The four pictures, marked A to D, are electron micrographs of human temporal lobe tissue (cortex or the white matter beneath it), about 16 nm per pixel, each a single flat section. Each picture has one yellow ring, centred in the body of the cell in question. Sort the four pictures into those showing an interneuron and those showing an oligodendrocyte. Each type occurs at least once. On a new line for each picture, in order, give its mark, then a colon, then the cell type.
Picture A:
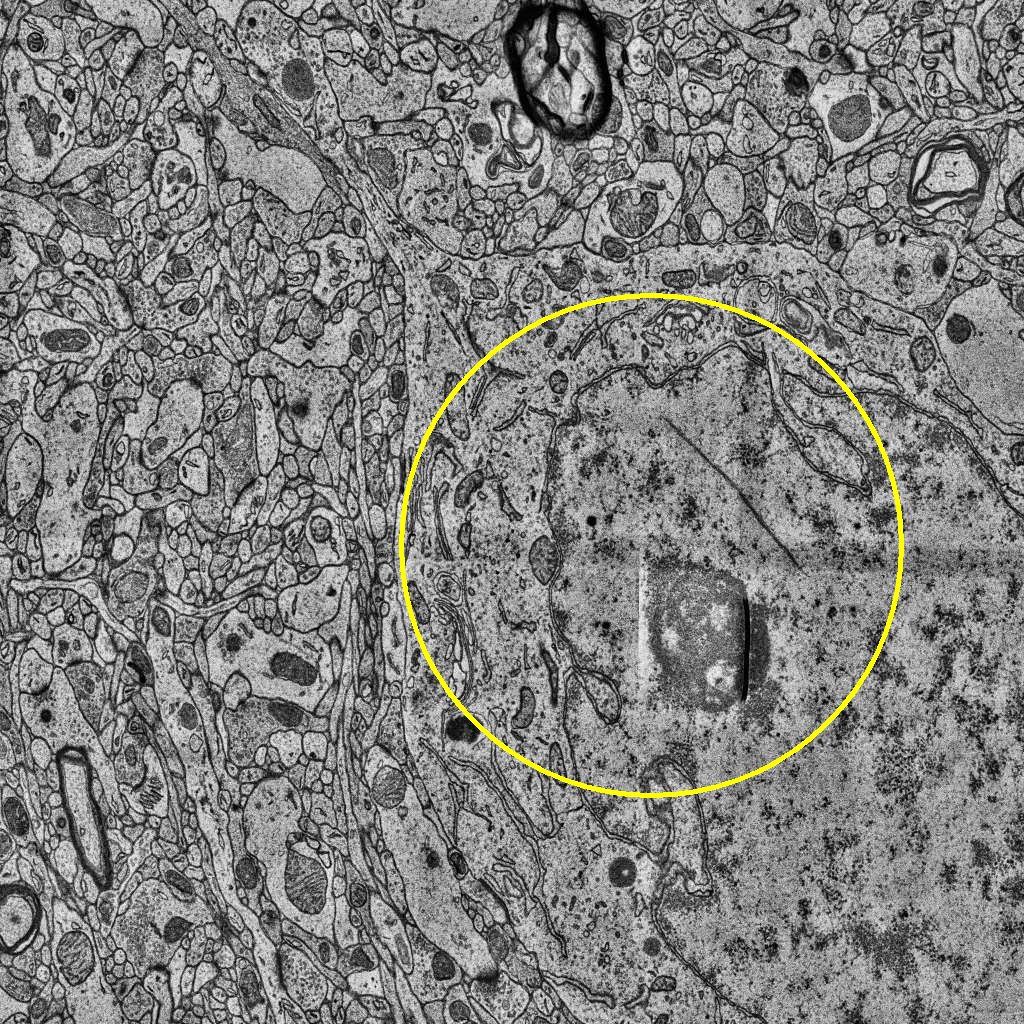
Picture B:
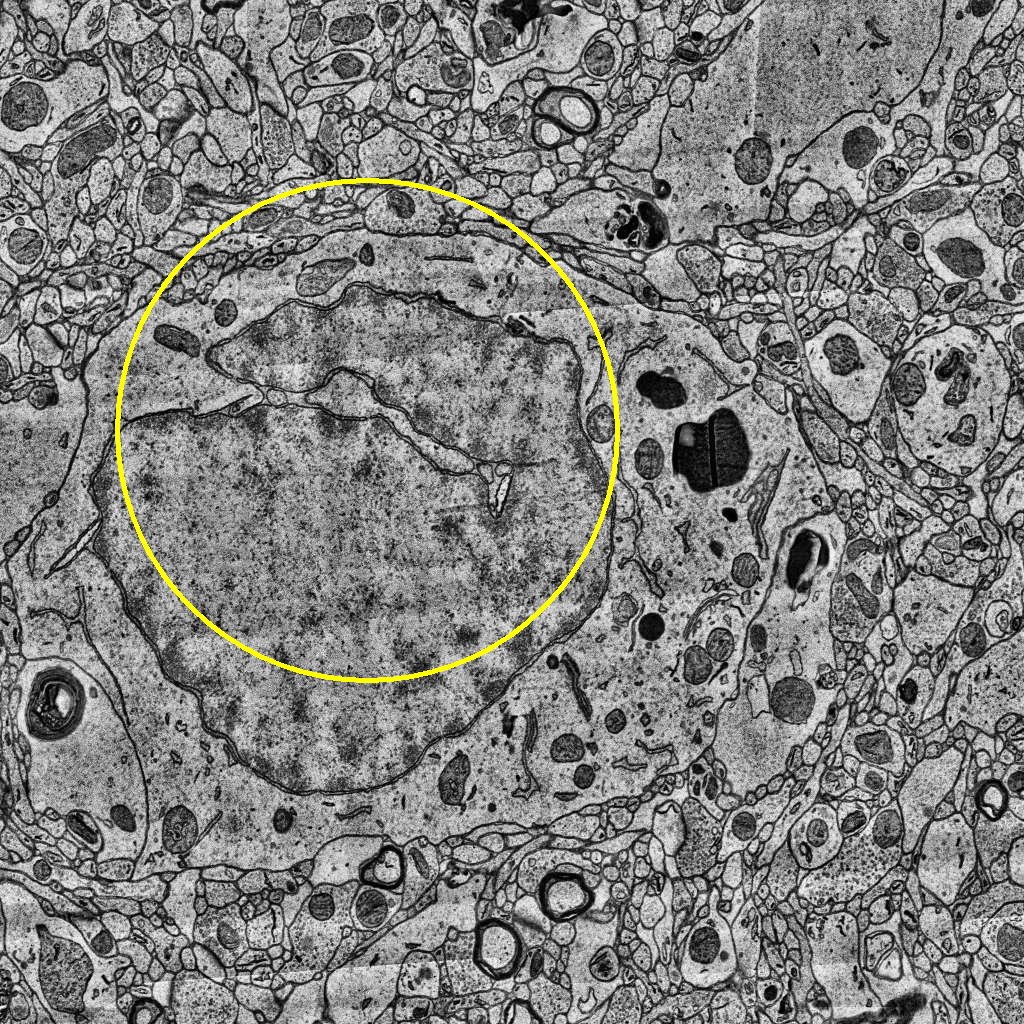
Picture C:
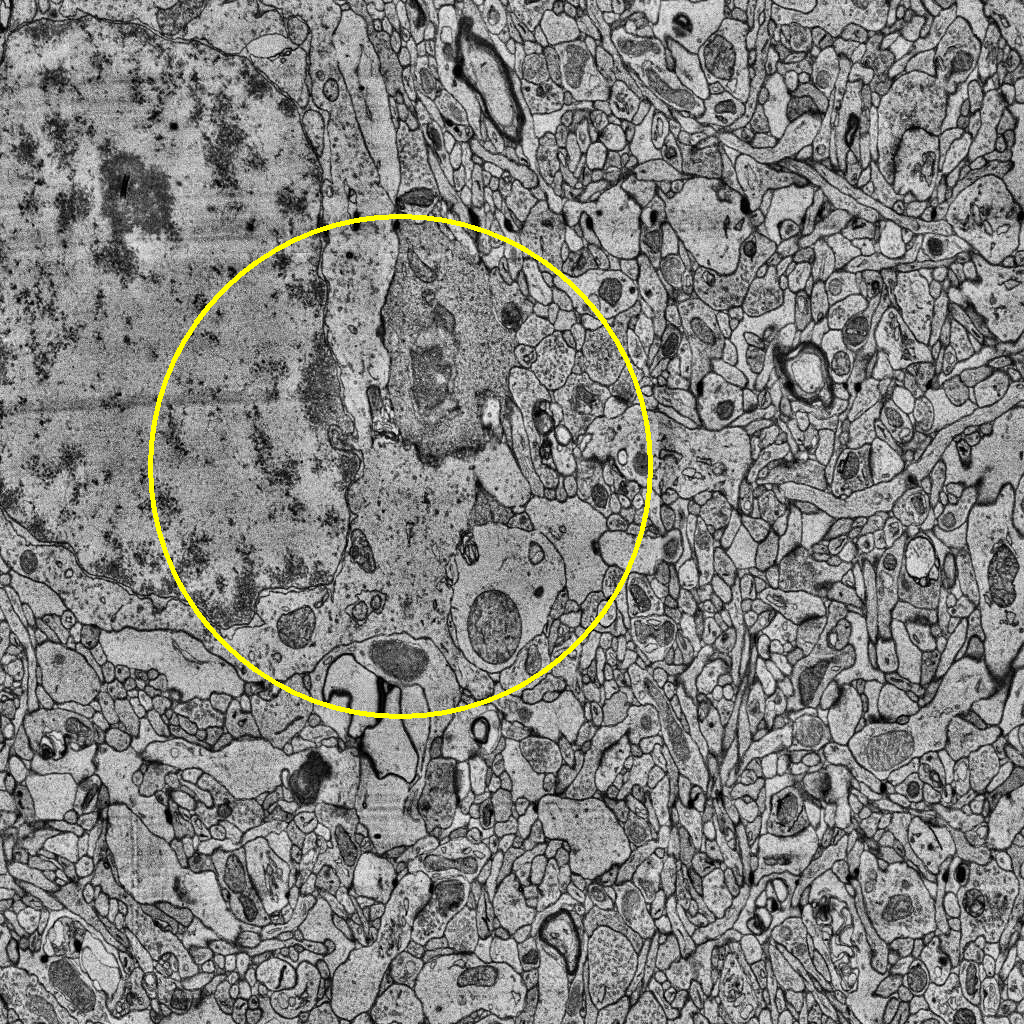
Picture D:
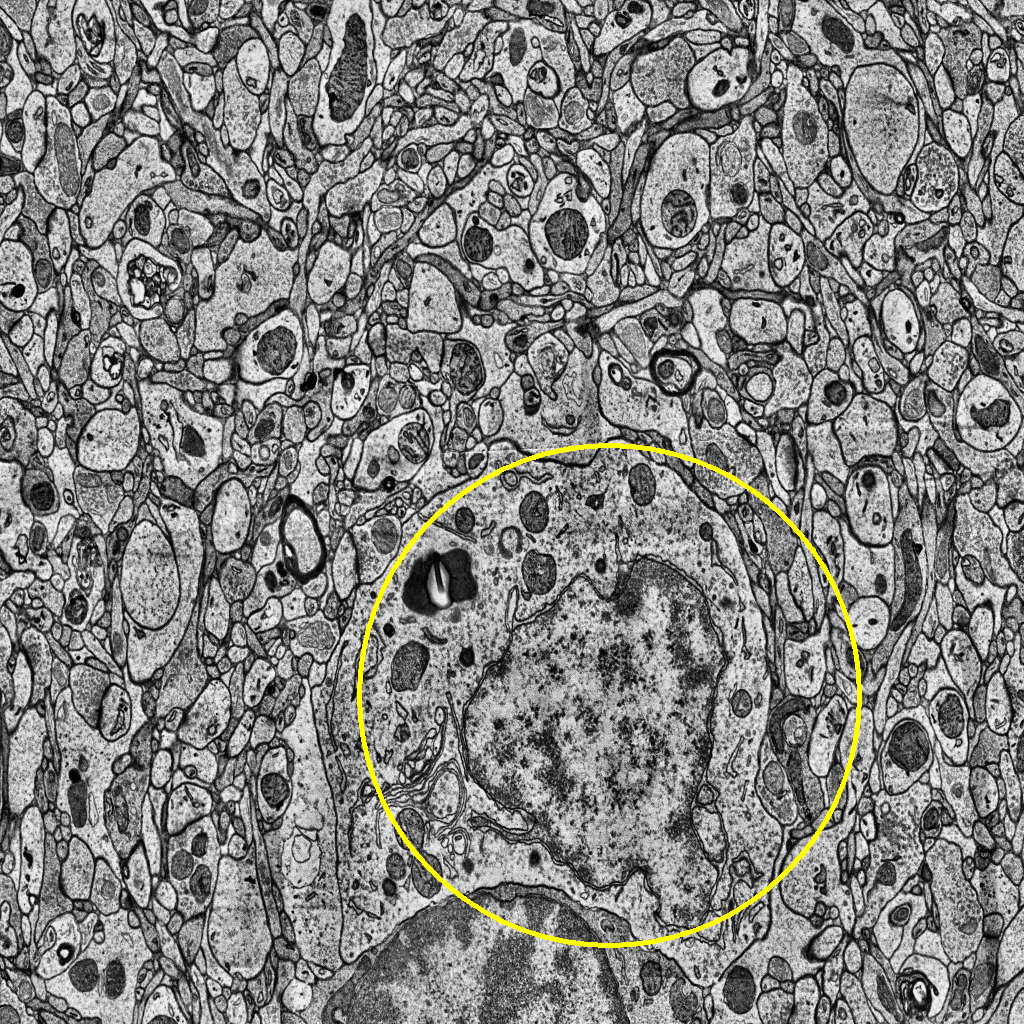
A: interneuron
B: interneuron
C: oligodendrocyte
D: interneuron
